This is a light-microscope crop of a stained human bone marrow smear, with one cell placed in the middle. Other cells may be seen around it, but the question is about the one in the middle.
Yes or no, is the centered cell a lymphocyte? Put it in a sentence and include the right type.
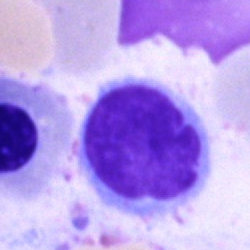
Yes, the cell at the midpoint of the crop is a lymphocyte.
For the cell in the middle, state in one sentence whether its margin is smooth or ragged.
No surface projections are present; the cell outline is smooth.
